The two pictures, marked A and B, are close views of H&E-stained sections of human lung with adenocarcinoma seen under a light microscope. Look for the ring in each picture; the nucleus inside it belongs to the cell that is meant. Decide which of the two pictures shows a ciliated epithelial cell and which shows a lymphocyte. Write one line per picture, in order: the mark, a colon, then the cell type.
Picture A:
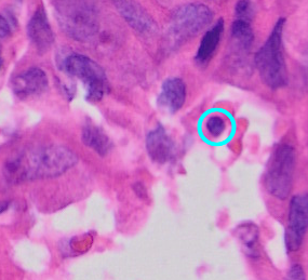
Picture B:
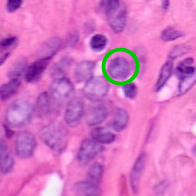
A: lymphocyte
B: ciliated epithelial cell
